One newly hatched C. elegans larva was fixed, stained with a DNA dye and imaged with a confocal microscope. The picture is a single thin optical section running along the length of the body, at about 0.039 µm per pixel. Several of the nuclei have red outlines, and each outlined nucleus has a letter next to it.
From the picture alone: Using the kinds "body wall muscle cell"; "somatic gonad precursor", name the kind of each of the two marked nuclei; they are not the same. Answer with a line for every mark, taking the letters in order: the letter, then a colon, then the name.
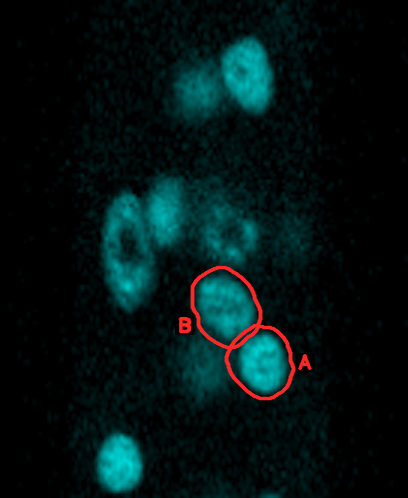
A: body wall muscle cell
B: somatic gonad precursor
